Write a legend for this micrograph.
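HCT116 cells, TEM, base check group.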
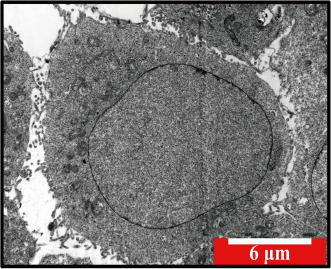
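Cultured tumour cell in thin section, with a large nucleus occupying most of the cell. The nucleus is oval, bounded by a thin, smooth envelope, and its chromatin is finely and evenly granular without coarse clumps. A moderately wide rim of cytoplasm surrounds it, containing scattered small mitochondria and other organelles. Short surface projections extend from the cell membrane into the clear space between cells. Parts of neighbouring cells press against it at the edges of the field.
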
